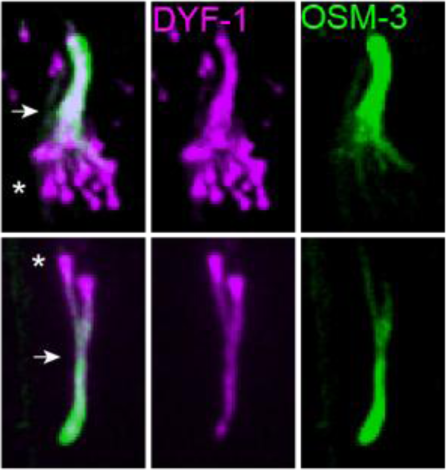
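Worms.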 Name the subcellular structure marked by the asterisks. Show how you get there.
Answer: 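Asterisks sit at the end with bulbous magenta blobs. The answer: ciliary base.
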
